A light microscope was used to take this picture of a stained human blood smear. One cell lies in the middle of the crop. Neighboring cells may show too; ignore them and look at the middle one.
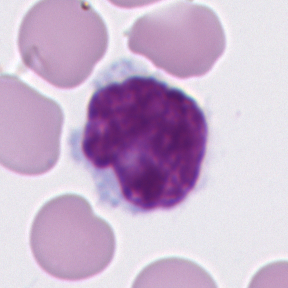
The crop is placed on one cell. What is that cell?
hairy cell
